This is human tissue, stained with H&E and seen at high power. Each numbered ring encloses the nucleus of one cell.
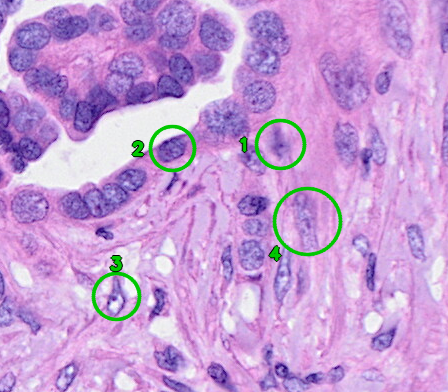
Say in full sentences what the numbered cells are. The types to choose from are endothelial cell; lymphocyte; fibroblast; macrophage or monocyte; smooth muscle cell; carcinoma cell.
Cell 1 is a fibroblast, cell 2 is a carcinoma cell, cell 3 is a fibroblast and cell 4 is a fibroblast.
